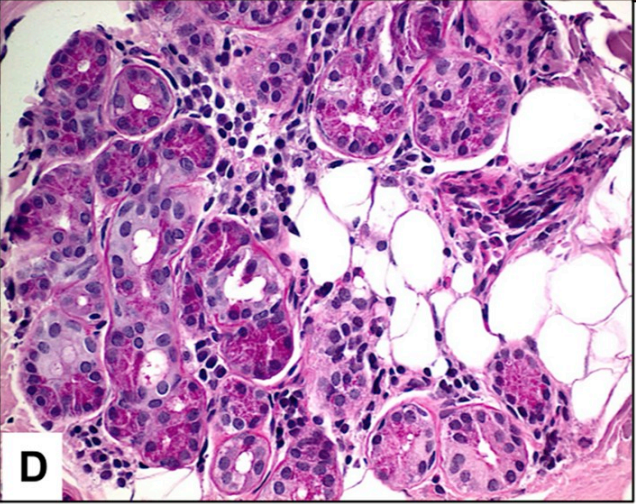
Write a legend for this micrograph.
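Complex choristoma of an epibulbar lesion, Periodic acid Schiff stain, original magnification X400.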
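Here we are looking at glandular acini with adipose tissue beside them. Each acinus is a rounded cluster of cuboidal to columnar cells set around a small clear central lumen. Their cytoplasm is filled with magenta, granular material. Their round nuclei sit toward the outer edge of the cluster. A thin pink rim outlines each acinus. Between the acini lies loose stroma with many small, dark, round nuclei. On the right are large empty, clear, rounded spaces.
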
